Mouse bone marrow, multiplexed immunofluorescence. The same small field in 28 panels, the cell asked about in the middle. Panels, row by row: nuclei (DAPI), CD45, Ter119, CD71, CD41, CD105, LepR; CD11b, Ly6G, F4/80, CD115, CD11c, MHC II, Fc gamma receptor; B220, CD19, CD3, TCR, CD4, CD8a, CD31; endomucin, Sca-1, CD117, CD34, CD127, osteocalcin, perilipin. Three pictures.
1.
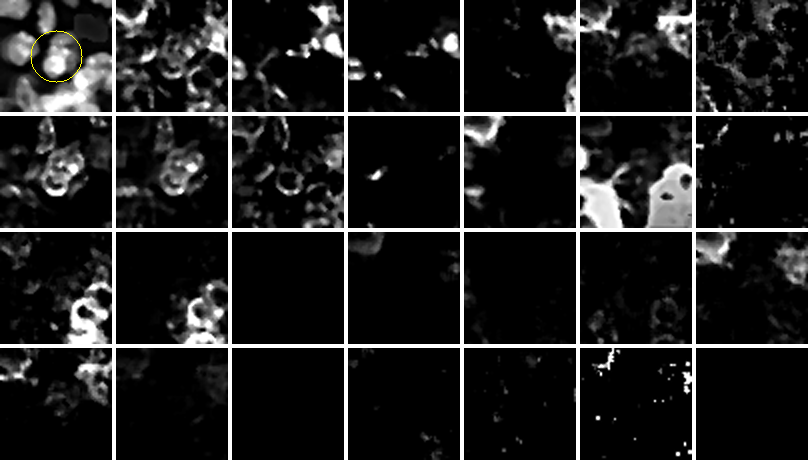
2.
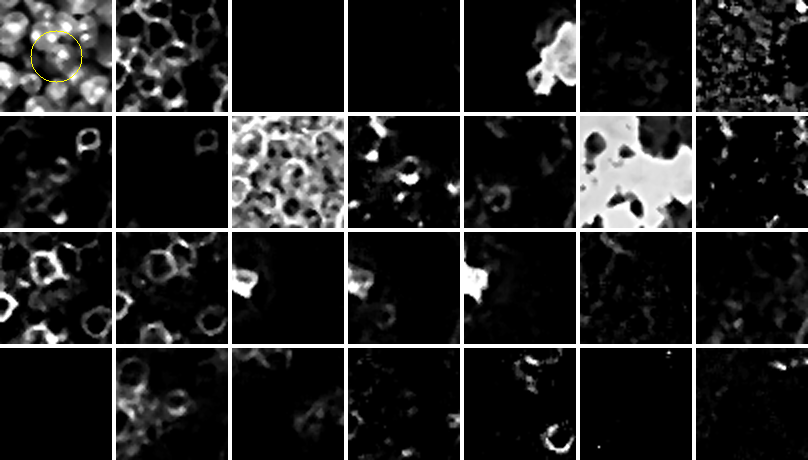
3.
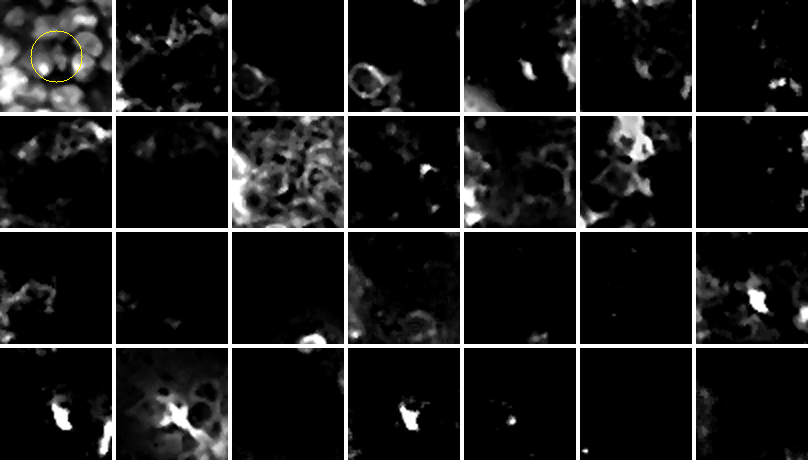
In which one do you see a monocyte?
In picture 2.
